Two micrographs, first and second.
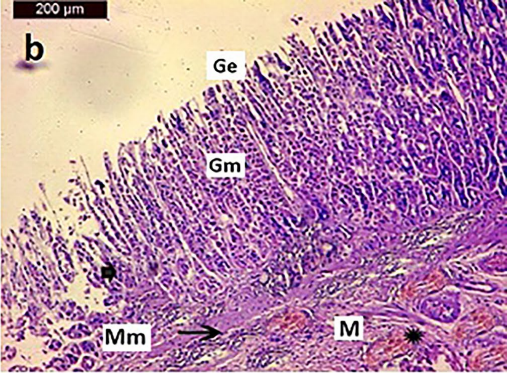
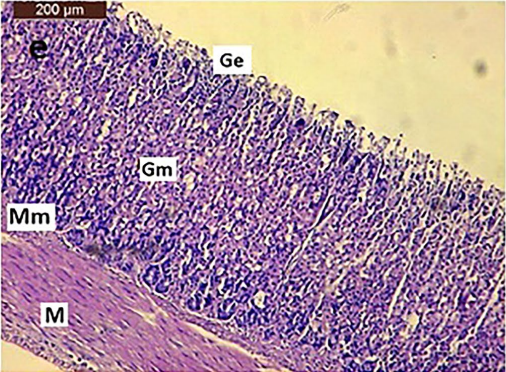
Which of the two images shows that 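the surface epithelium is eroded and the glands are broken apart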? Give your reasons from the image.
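The first image. Second image: the glands are tightly packed in parallel rows up to an even surface. First image: the surface is ragged and the glands on the left are separated by clear gaps.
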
